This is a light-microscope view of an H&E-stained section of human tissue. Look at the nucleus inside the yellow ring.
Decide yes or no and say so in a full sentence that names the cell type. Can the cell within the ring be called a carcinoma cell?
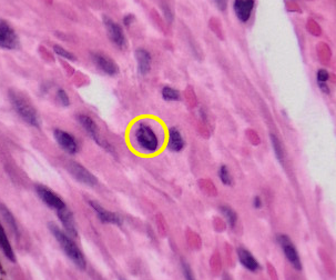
No, the cell within the ring is typed as a macrophage or monocyte rather than as a carcinoma cell.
